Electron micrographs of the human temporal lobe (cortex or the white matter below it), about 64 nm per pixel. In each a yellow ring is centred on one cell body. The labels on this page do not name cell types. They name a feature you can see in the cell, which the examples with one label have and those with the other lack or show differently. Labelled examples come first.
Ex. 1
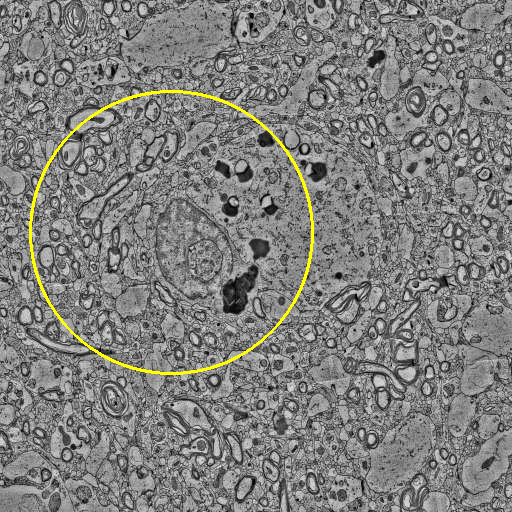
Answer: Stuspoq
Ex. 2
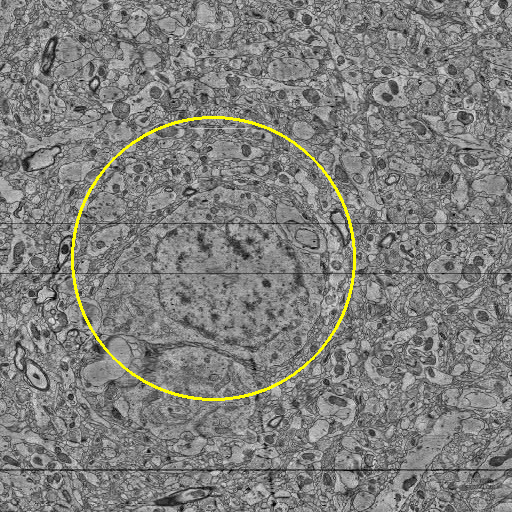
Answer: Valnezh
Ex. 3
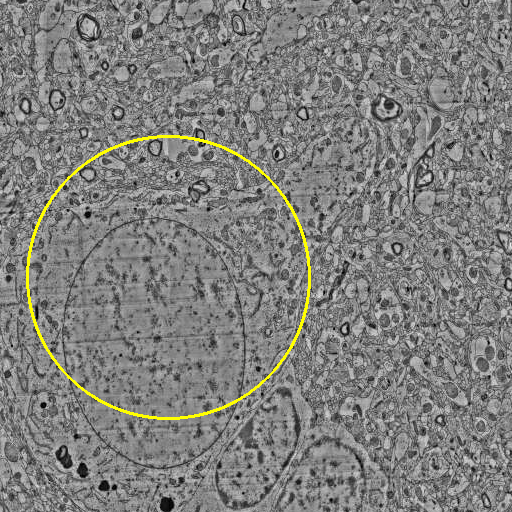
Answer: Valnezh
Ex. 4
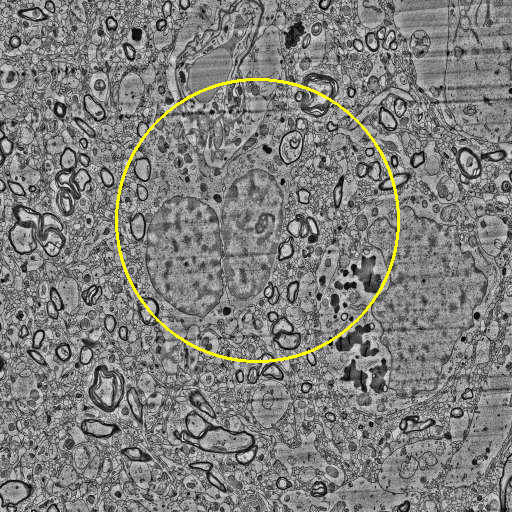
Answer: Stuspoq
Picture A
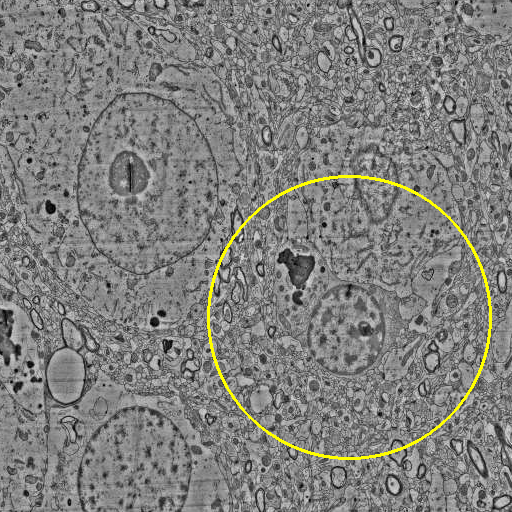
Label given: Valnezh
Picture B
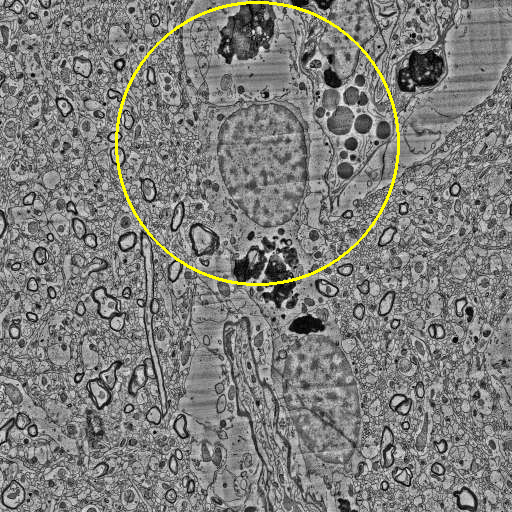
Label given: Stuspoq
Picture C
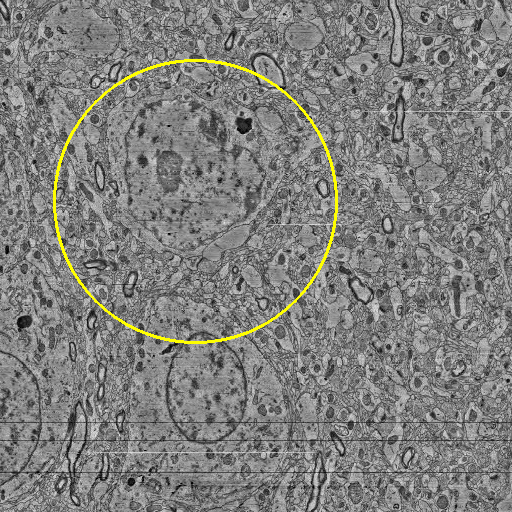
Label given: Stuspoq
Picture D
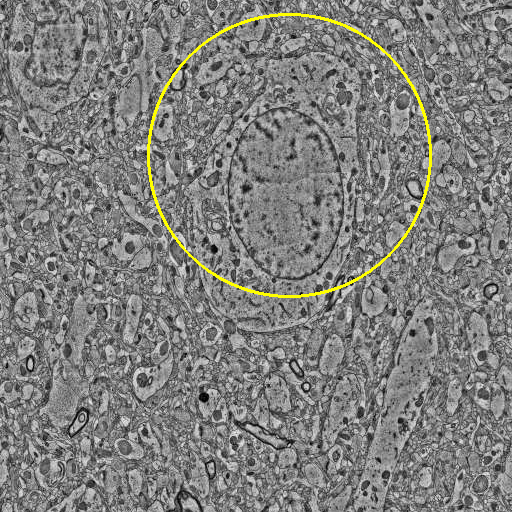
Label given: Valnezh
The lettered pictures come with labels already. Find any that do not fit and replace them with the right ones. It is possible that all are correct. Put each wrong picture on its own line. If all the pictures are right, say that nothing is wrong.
A: change Valnezh to Stuspoq
B: change Stuspoq to Valnezh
